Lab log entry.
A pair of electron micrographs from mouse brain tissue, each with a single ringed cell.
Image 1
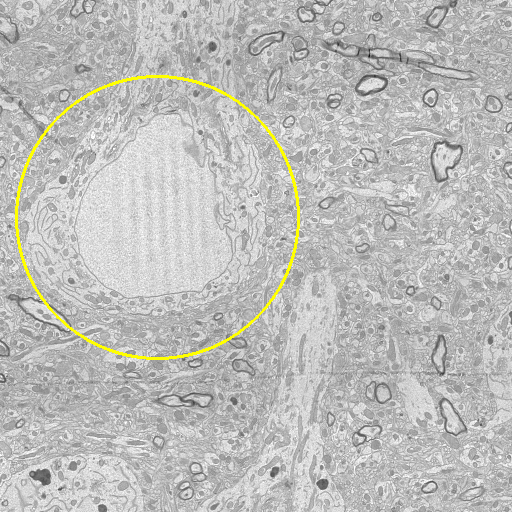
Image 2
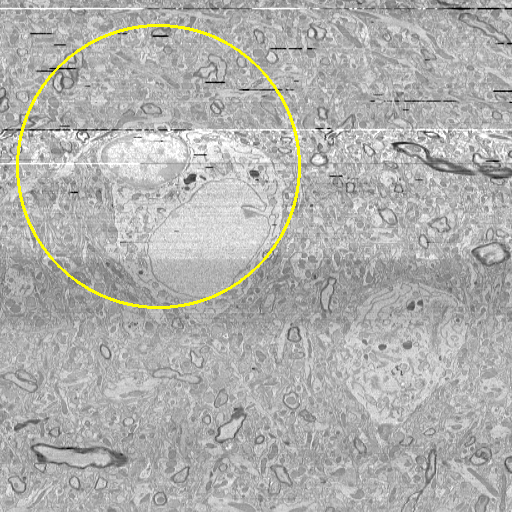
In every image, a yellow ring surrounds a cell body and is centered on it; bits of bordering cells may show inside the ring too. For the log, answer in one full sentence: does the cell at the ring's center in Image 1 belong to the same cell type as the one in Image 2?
No, the cells at the ring centers in Image 1 and Image 2 are of separate types.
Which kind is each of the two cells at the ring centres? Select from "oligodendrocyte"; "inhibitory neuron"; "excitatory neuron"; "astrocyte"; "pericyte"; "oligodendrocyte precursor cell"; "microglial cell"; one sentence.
The cell at the centre of the ring is an excitatory neuron in the first picture and an oligodendrocyte in the second.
